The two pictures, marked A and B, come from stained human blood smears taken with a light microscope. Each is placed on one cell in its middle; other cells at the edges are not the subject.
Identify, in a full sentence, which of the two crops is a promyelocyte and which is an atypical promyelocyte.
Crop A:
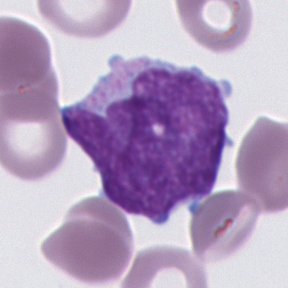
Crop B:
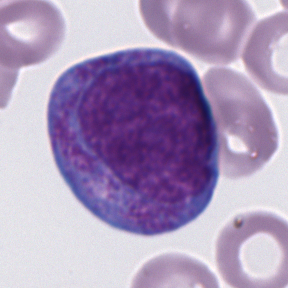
Crop A features an atypical promyelocyte, and crop B features a promyelocyte.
